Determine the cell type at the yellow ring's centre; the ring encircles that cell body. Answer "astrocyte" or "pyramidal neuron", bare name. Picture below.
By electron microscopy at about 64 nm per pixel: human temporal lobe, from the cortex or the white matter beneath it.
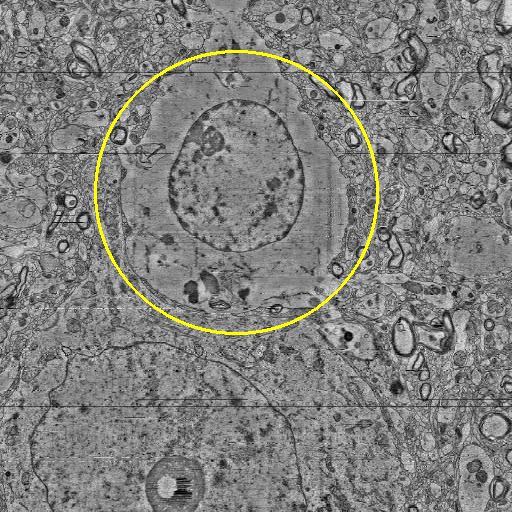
astrocyte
